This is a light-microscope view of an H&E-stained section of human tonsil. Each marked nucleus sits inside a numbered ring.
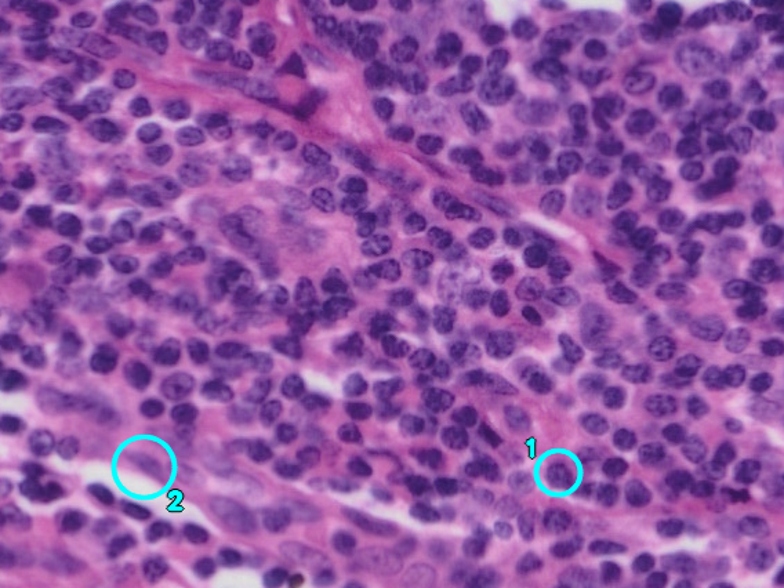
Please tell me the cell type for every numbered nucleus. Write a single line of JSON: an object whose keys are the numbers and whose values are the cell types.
{"1": "plasma cell", "2": "endothelial cell"}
